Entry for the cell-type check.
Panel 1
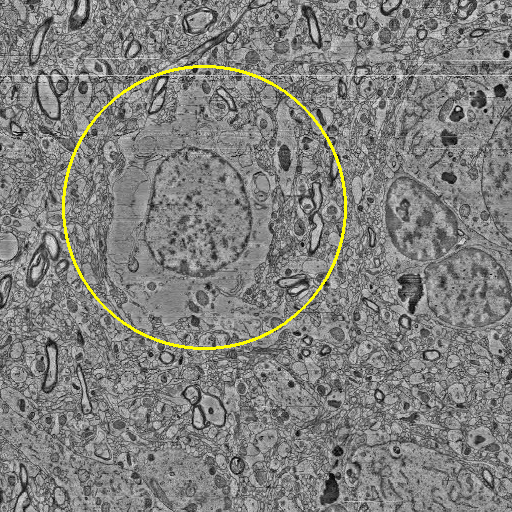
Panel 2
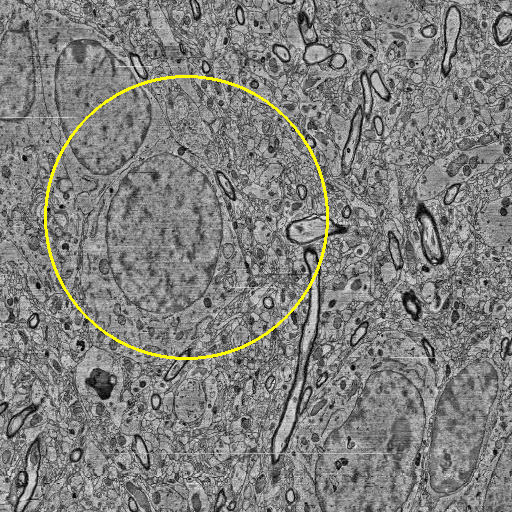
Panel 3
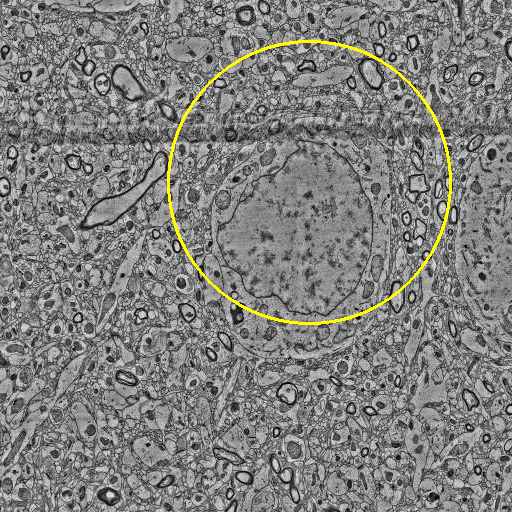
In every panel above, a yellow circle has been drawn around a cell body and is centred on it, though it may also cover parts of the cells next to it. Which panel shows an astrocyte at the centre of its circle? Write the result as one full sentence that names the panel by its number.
Panel 1 shows it at the centre of its circle.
